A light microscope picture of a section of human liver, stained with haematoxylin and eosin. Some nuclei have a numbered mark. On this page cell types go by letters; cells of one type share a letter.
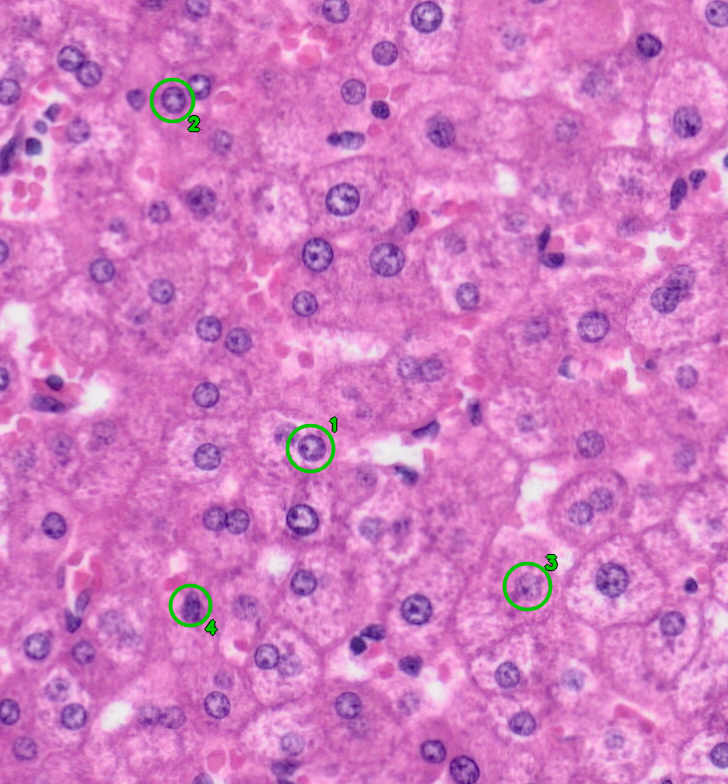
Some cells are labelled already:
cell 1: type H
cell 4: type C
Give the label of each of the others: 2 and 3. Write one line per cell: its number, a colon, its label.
2: type H
3: type H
